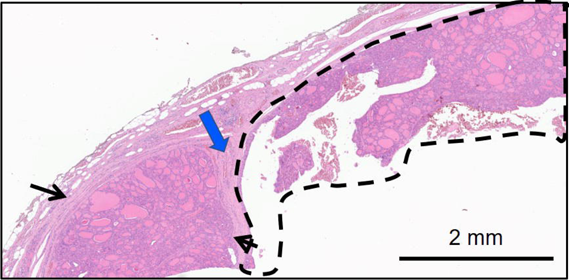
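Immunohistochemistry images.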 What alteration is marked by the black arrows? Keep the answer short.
capsular invasion of cancer cells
